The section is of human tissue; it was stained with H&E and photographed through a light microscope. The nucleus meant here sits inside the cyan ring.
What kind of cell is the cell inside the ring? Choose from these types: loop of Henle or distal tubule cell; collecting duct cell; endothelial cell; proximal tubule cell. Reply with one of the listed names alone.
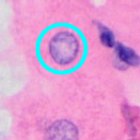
proximal tubule cell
